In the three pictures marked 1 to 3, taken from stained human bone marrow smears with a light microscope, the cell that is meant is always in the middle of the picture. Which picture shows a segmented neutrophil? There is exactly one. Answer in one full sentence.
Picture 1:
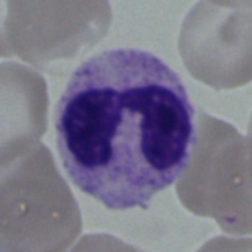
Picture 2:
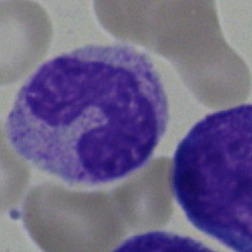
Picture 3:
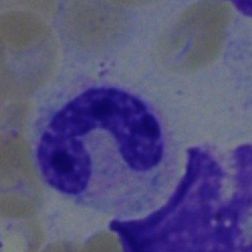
It is picture 1 that shows the segmented neutrophil.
